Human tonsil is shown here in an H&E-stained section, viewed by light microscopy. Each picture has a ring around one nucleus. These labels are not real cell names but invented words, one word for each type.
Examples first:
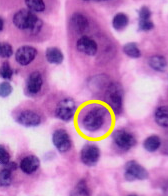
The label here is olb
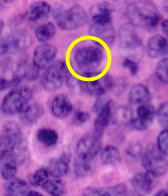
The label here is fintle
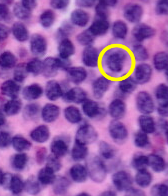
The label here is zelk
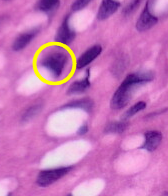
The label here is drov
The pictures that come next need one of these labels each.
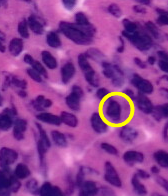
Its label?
olb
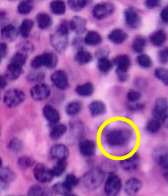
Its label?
fintle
